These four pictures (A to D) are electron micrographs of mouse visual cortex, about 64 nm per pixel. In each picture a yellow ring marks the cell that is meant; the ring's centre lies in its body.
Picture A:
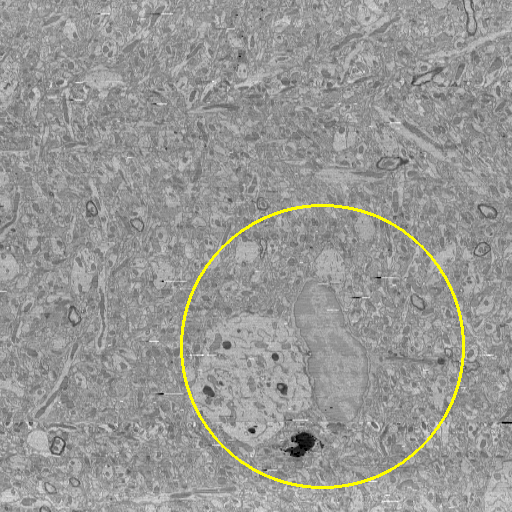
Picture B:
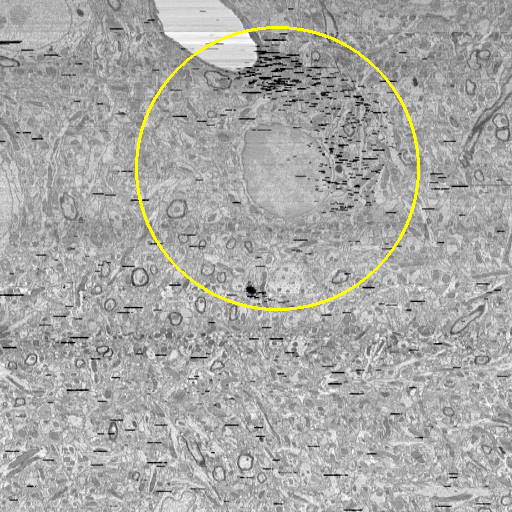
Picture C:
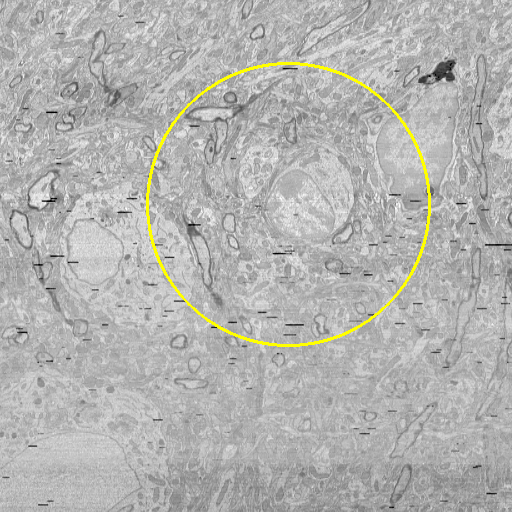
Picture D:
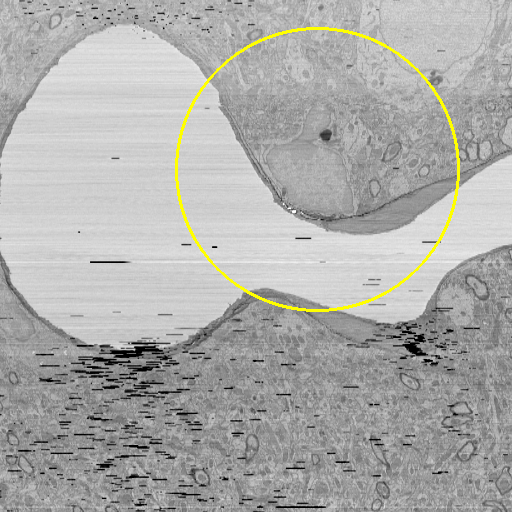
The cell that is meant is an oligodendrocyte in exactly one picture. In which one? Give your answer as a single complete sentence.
It is picture C that shows the oligodendrocyte.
